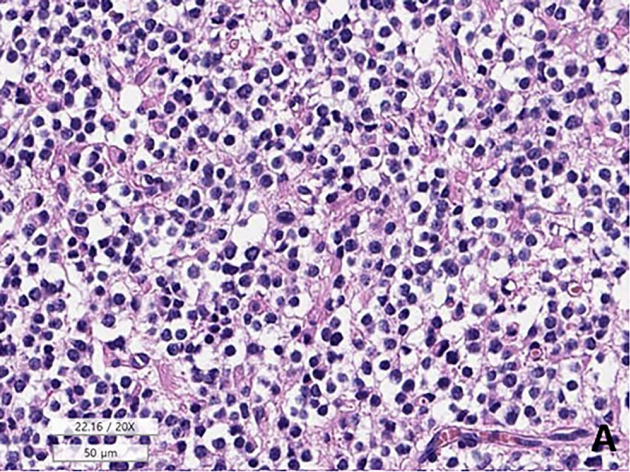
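This is a densely cellular tumor made of monotonous rounded cells, each with a round, dark, centrally placed nucleus surrounded by a clear halo of cytoplasm, giving a fried-egg look. The cells lie evenly packed, separated by a fine network of thin pink capillaries, one of which crosses the lower right carrying red blood cells.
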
